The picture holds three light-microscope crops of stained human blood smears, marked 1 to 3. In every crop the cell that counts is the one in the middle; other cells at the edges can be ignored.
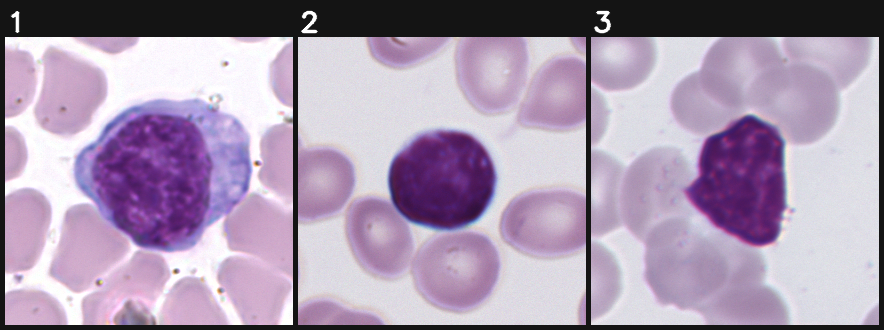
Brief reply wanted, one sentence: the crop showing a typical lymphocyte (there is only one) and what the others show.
In crop 2 one sees a typical lymphocyte, while crop 1 is a plasma cell and crop 3 is a smudge cell.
